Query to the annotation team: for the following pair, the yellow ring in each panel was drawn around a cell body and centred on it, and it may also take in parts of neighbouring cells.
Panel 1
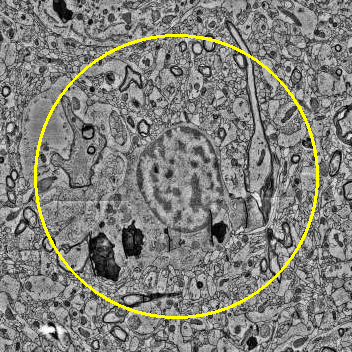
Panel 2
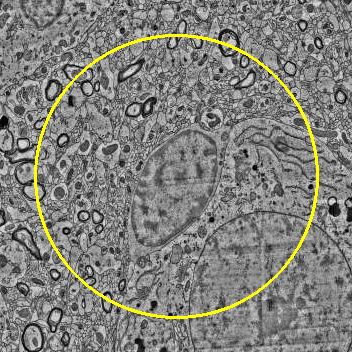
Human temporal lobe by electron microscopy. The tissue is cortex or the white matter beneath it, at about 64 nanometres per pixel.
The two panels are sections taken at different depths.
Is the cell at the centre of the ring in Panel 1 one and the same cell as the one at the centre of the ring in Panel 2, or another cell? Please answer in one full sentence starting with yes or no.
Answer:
No, the two rings indicate two different cells, not one.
